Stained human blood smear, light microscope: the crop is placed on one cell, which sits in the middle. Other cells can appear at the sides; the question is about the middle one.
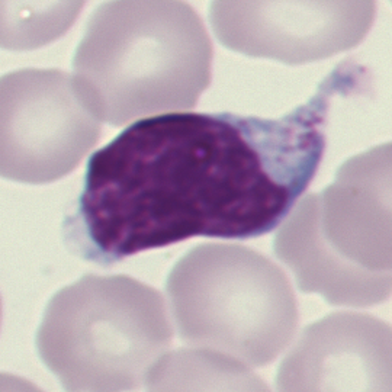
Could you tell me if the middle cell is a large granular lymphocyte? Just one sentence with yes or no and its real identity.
Yes, the cell shown centrally is a large granular lymphocyte.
